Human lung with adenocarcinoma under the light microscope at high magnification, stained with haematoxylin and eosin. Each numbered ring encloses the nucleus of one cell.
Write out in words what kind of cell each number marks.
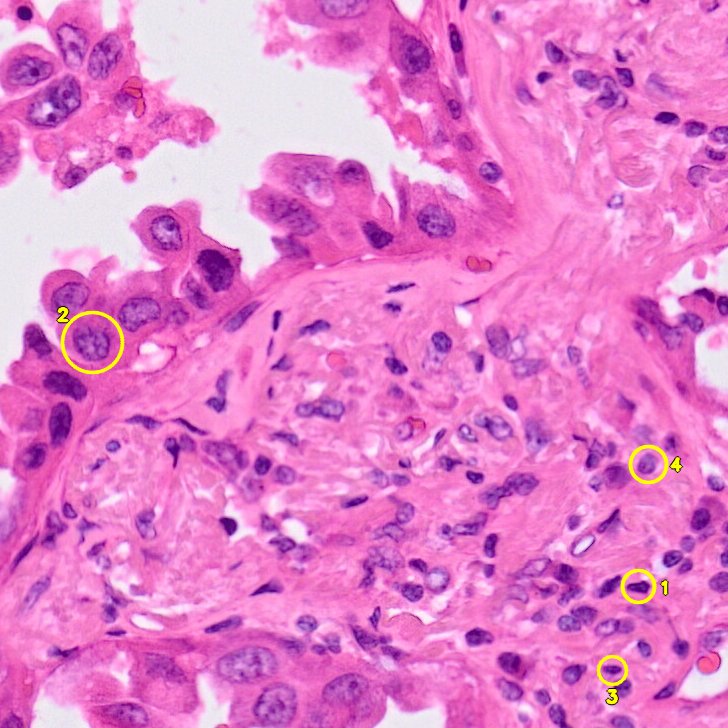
Cells 1, 3 and 4 are lymphocytes. Cell 2 is a carcinoma cell.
